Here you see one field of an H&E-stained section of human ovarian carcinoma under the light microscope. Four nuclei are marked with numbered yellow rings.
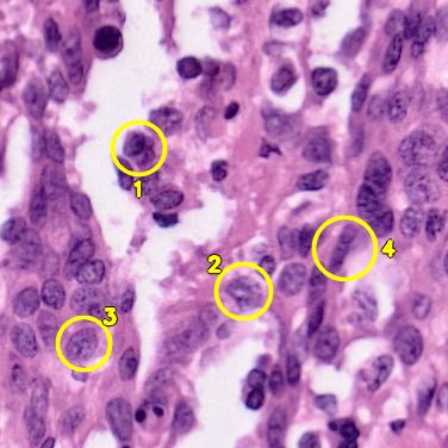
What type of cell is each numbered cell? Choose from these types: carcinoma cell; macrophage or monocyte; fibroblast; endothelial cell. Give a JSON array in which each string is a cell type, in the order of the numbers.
["carcinoma cell", "macrophage or monocyte", "carcinoma cell", "carcinoma cell"]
